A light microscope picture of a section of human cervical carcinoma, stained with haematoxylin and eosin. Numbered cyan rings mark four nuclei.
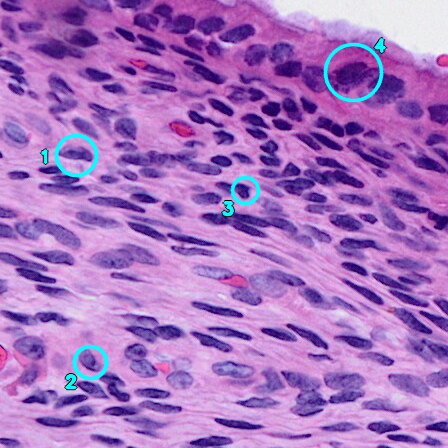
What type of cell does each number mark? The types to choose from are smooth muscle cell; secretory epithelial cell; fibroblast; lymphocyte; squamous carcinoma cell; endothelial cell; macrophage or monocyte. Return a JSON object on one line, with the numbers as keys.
{"1": "fibroblast", "2": "endothelial cell", "3": "fibroblast", "4": "secretory epithelial cell"}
